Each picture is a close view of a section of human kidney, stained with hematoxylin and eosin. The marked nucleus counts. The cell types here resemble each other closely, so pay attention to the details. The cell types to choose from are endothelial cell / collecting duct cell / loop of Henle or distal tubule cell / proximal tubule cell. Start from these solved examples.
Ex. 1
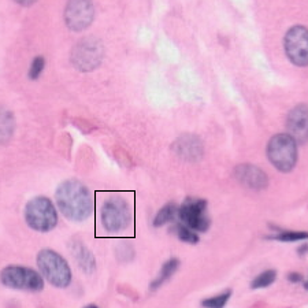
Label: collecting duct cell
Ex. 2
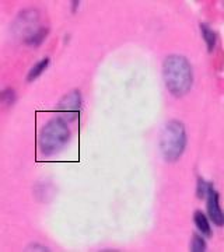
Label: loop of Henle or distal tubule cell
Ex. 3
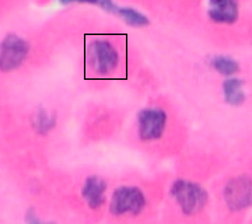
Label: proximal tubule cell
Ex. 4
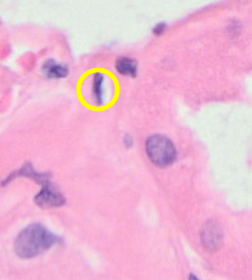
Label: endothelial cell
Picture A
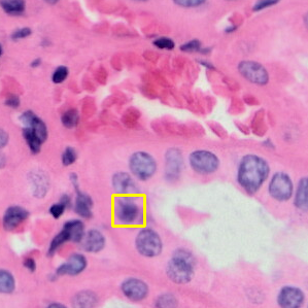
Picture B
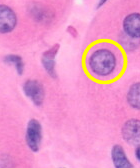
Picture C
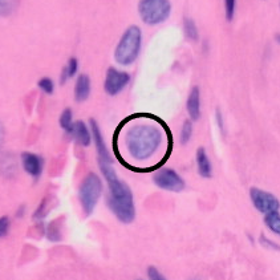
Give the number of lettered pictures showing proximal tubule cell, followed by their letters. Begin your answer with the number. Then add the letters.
1: B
